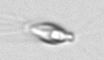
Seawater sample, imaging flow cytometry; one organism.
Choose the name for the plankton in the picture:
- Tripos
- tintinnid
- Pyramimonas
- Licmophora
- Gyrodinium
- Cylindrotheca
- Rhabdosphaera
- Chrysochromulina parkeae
Chrysochromulina parkeae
